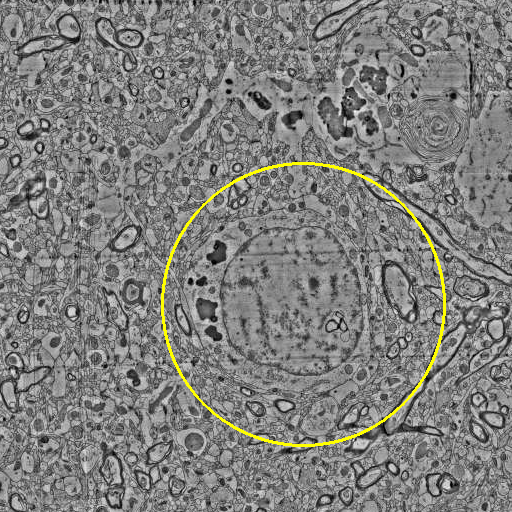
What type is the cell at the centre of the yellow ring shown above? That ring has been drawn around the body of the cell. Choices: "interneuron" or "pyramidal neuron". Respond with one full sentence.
My answer is that an interneuron lies at the centre of the yellow ring above.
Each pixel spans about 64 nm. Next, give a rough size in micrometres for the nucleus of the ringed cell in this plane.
The nucleus of the ringed cell is approximately 10 micrometres across in this plane.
